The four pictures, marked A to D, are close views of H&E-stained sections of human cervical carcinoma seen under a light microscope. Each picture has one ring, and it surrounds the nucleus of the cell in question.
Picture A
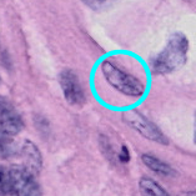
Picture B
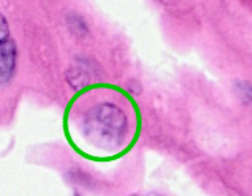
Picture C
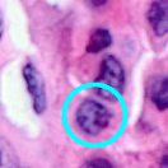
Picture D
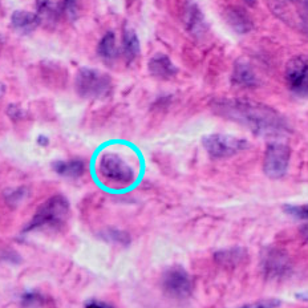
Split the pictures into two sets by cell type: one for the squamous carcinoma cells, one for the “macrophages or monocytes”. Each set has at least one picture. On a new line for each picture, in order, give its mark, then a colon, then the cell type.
A: squamous carcinoma cell
B: squamous carcinoma cell
C: squamous carcinoma cell
D: macrophage or monocyte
